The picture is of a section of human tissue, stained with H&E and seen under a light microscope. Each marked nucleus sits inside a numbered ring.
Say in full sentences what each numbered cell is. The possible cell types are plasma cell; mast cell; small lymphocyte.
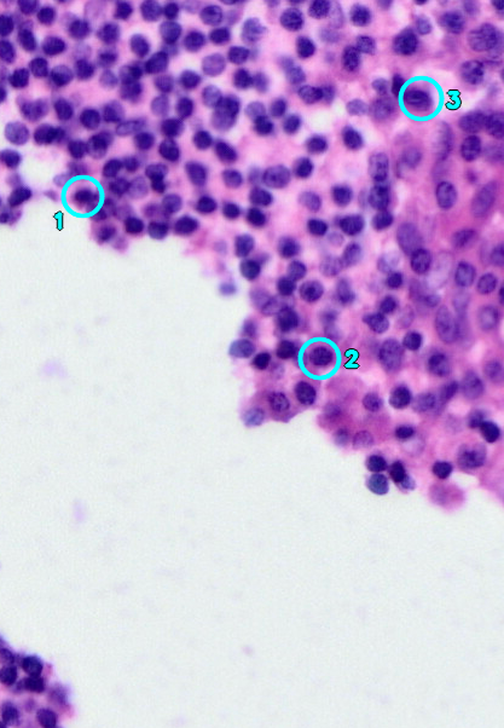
Cell 1 is a small lymphocyte, cell 2 is a plasma cell and cell 3 is a plasma cell.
